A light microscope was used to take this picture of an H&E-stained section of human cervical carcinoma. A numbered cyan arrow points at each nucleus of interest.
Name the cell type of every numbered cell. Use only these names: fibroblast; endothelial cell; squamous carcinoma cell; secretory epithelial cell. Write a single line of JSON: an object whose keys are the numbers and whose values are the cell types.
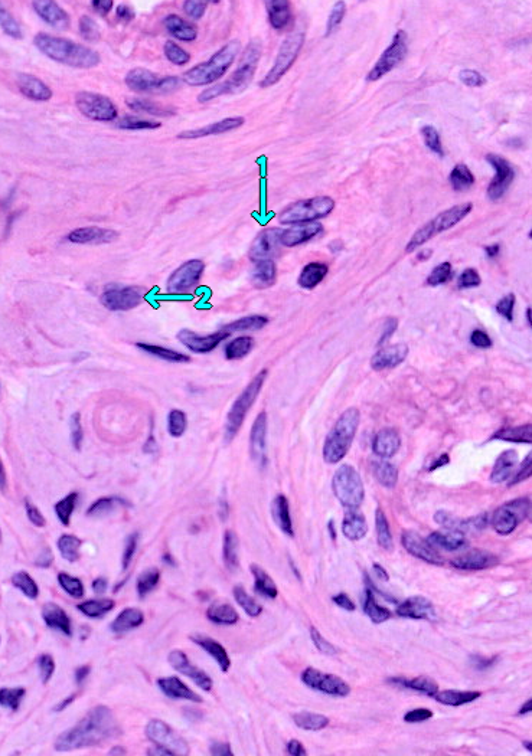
{"1": "endothelial cell", "2": "fibroblast"}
